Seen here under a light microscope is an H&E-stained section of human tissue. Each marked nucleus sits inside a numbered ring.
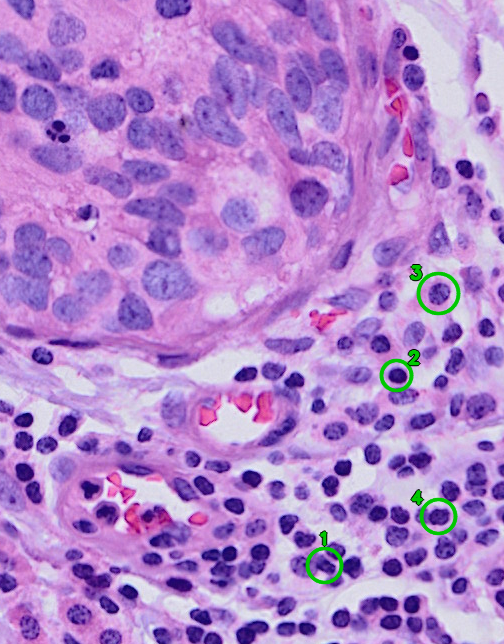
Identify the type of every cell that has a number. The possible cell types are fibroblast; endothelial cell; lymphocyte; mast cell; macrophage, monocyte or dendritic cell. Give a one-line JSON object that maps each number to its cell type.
{"1": "lymphocyte", "2": "lymphocyte", "3": "mast cell", "4": "lymphocyte"}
